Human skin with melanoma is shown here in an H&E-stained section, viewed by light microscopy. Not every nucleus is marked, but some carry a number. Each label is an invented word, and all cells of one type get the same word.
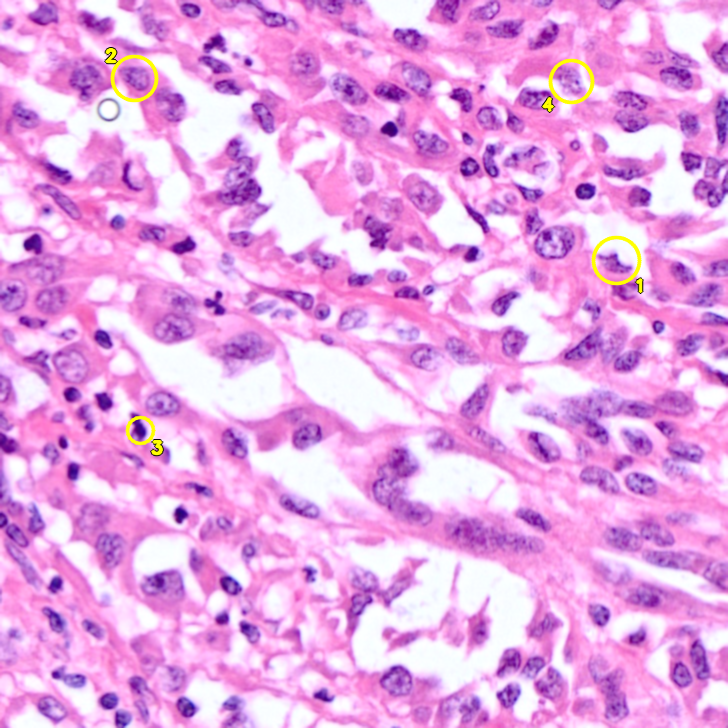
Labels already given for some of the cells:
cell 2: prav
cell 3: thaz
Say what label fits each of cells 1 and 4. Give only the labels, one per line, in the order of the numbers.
prav
prav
